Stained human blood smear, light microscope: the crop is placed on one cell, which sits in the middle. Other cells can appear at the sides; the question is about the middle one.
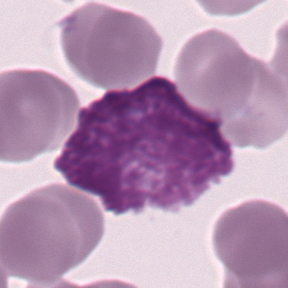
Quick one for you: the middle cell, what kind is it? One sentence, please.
The cell found in the middle of this crop is a smudge cell.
